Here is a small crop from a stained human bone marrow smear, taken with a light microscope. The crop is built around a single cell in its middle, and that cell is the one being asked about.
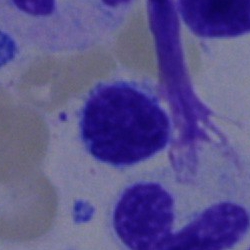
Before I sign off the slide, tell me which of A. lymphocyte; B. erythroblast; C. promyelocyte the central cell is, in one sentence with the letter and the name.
Option A is right, the centrally situated cell being a lymphocyte.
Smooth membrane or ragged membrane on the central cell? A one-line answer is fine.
Its surface contour departs from smoothness through ragged edges or outward projections.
